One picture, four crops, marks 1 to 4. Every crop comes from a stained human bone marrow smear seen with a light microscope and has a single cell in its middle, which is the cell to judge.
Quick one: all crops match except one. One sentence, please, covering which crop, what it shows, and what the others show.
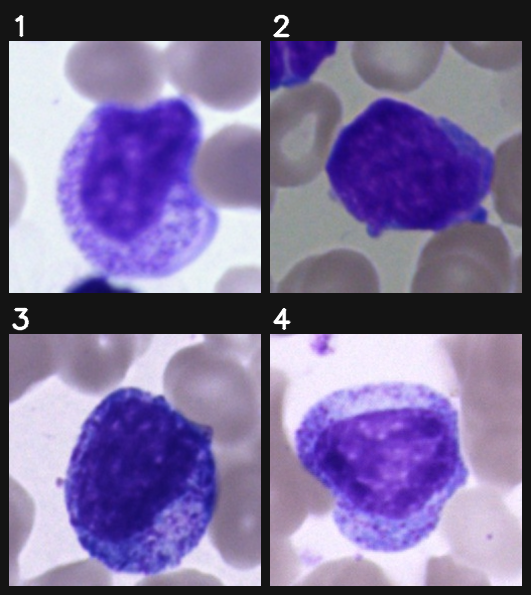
Crop 2 differs from its companions, showing a blast where they show promyelocytes.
